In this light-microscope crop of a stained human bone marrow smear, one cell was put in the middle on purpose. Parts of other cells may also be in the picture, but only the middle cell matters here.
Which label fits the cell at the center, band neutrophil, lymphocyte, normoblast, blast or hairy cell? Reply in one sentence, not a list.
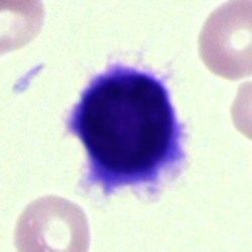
Where the crop is centred, there is a hairy cell.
